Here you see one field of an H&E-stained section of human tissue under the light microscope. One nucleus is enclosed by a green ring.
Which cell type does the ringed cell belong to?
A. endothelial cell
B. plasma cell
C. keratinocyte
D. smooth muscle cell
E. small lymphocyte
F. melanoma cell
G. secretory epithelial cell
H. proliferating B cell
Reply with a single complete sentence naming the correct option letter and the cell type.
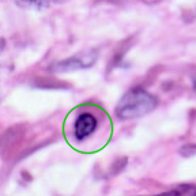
With the ringed cell being a plasma cell, option B is correct.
